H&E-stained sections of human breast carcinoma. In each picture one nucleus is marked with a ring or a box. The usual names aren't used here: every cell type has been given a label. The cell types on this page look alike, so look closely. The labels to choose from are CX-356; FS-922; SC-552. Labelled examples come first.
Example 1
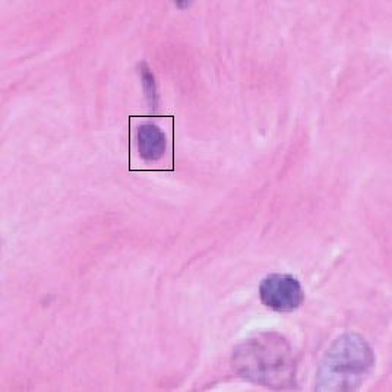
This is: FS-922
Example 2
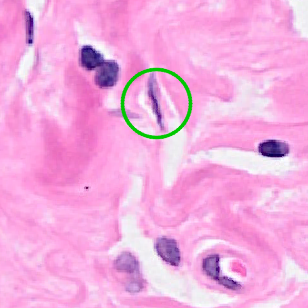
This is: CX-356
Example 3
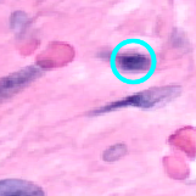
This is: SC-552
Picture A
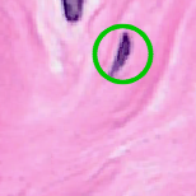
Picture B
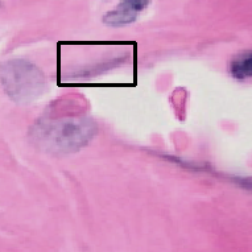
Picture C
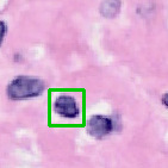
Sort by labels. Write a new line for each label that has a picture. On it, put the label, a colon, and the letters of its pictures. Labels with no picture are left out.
CX-356: A
FS-922: C
SC-552: B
